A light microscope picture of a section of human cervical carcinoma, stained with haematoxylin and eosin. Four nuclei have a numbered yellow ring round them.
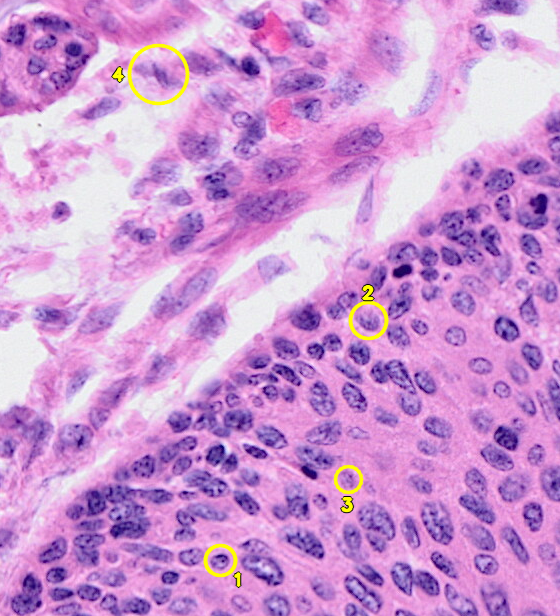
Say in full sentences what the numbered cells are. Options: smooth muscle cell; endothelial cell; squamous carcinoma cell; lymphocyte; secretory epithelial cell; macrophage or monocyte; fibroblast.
Cell 1 is a squamous carcinoma cell, cell 2 is a squamous carcinoma cell, cell 3 is a squamous carcinoma cell and cell 4 is a fibroblast.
